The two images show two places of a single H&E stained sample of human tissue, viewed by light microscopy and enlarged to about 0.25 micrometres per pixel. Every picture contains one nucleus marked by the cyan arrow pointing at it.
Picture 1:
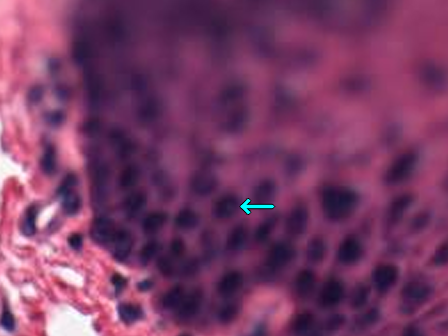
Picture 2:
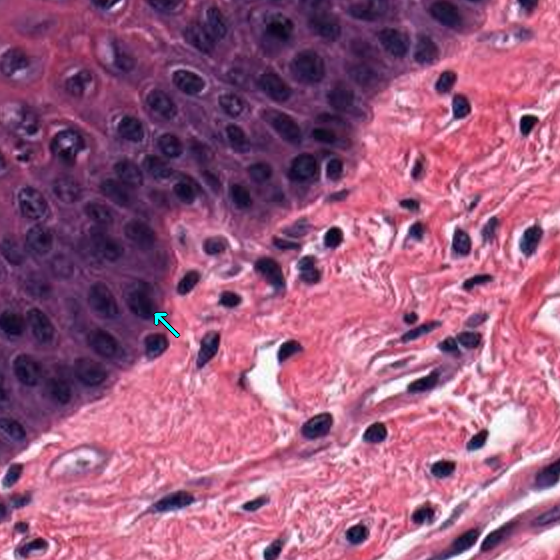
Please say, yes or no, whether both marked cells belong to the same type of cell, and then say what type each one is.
Yes, both are squamous epithelial cells.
